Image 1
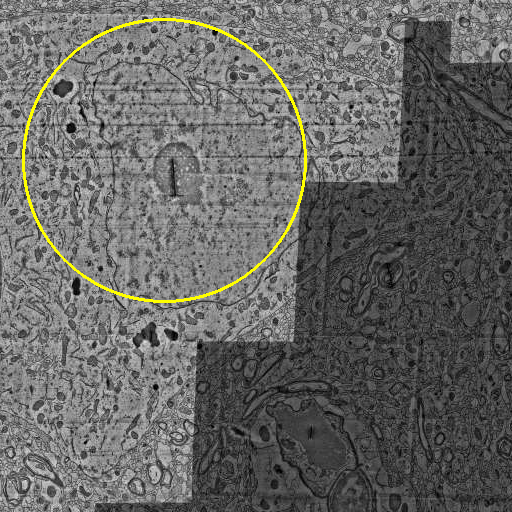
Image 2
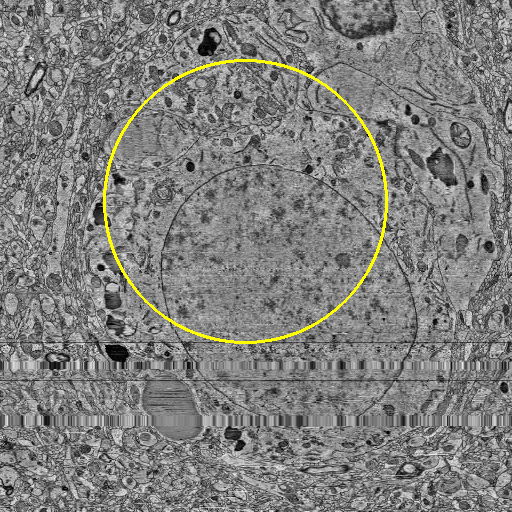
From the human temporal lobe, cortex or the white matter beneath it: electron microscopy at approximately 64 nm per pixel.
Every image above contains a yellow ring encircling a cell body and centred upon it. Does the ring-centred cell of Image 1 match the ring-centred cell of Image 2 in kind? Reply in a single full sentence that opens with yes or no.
Yes, the cell at the ring's centre in Image 1 is the same kind as that in Image 2.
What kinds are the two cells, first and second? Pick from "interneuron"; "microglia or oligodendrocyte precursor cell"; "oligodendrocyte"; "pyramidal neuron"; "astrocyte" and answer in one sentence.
Each of the two pictures has a pyramidal neuron at the ring centre.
